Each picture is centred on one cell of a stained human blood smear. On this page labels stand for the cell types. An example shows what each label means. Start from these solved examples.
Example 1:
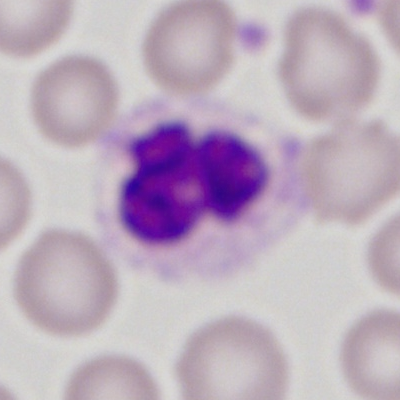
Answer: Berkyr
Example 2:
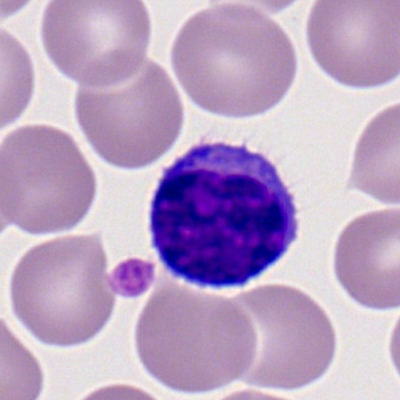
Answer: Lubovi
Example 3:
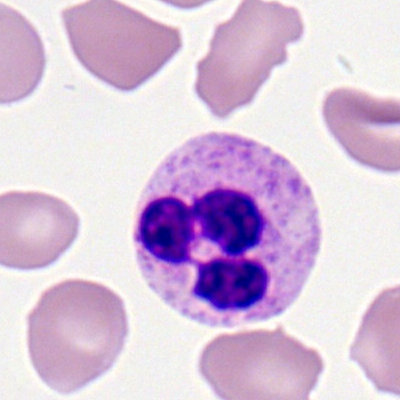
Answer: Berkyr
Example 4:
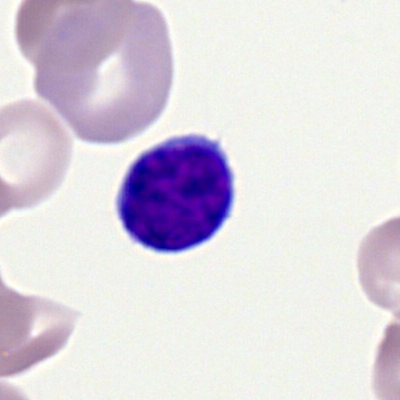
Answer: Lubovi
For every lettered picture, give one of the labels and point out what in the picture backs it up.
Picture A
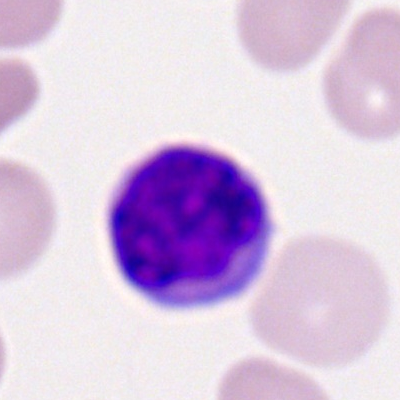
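Lubovi. The nucleus fills most of the cell.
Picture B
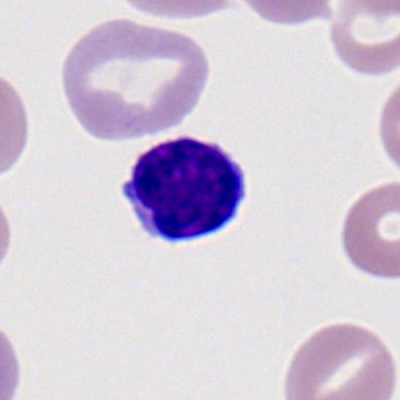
Lubovi. Only a scant rim of pale blue cytoplasm shows, mainly at the left edge.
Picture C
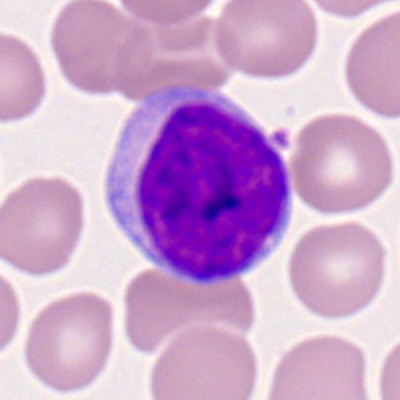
Lubovi. The cytoplasm is scant, forming only a thin rim around the nucleus.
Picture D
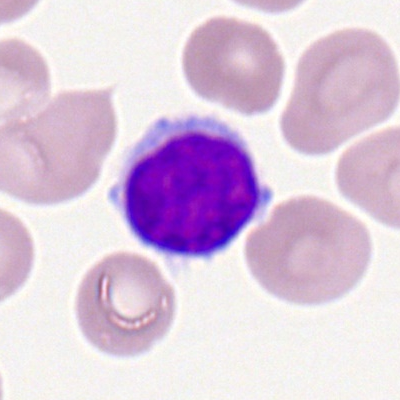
Lubovi. The cytoplasm forms only a narrow rim around the nucleus.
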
